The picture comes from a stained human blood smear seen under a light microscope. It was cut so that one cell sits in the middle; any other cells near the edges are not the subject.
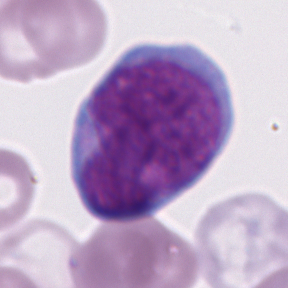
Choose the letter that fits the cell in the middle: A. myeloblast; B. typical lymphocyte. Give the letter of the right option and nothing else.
A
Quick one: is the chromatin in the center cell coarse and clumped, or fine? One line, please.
The chromatin pattern is fine and free of coarse clumps.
